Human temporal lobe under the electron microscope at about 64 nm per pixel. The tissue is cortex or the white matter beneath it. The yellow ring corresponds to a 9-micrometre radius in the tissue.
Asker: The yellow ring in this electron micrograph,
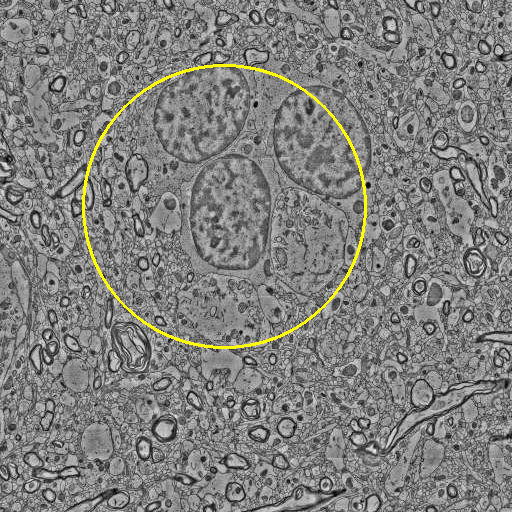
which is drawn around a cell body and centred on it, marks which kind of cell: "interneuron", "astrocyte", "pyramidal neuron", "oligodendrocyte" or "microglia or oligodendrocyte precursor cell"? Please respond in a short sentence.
The marked cell is an oligodendrocyte.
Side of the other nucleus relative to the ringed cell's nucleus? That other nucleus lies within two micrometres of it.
The second nucleus is above it.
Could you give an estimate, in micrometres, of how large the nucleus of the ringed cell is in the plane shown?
The nucleus has a long axis of about 7 micrometres and a short axis of about 5 micrometres in this plane.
